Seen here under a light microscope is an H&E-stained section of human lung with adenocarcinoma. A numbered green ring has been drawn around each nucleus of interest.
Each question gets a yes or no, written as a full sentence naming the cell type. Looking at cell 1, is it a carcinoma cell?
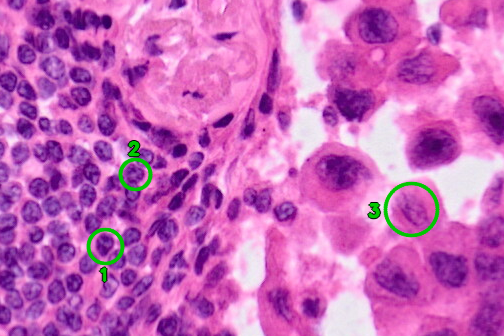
No, instead of a carcinoma cell, the cell with number 1 is a lymphocyte.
